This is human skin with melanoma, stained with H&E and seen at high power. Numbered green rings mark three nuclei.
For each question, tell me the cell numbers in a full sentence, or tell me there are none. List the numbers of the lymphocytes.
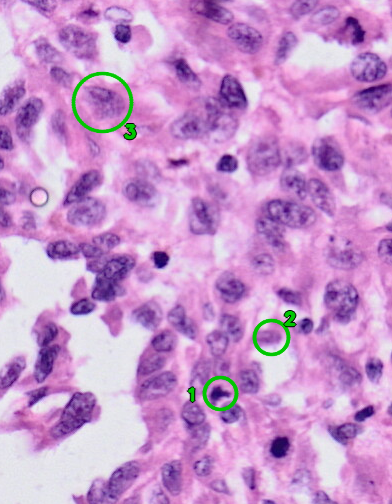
Only the cell carrying number 1 is a lymphocyte.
